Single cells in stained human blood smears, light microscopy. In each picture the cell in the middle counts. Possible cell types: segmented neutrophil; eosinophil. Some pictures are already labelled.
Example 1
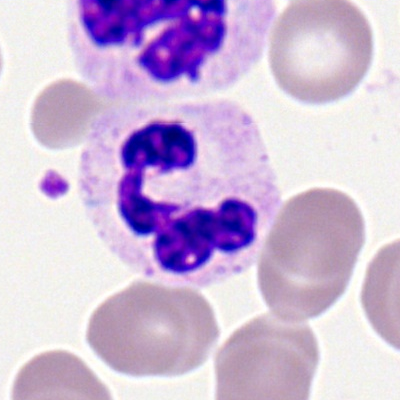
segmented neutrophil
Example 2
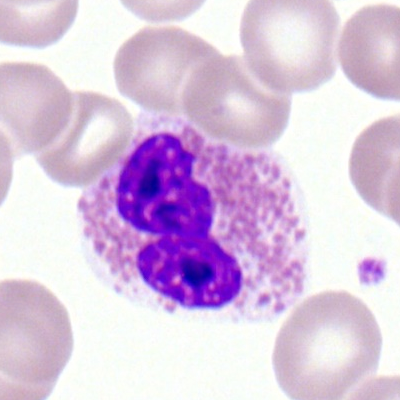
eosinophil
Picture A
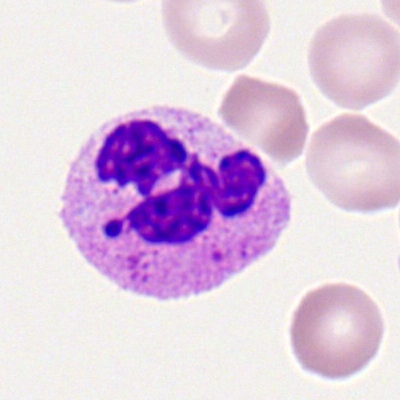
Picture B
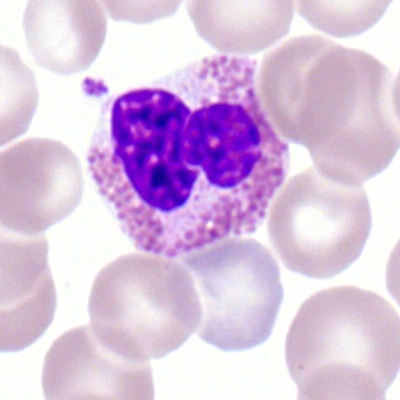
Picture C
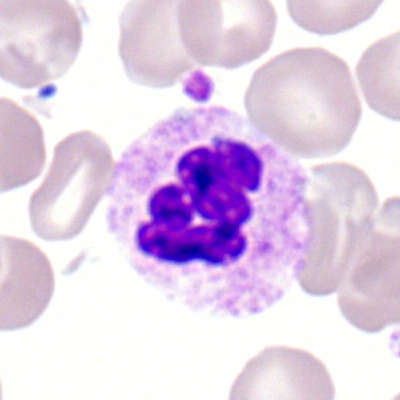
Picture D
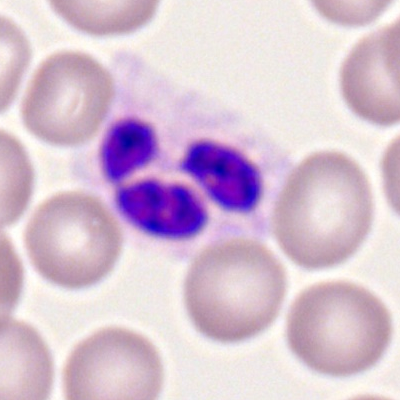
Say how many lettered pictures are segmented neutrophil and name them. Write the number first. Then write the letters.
Count: 3 (A, C, D)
